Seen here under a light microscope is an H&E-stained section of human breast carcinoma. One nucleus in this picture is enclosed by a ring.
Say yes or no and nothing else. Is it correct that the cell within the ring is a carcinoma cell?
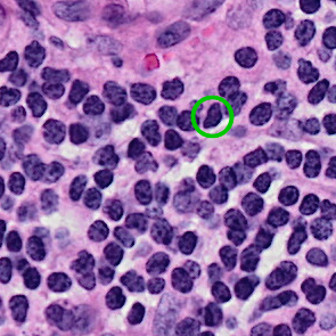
no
